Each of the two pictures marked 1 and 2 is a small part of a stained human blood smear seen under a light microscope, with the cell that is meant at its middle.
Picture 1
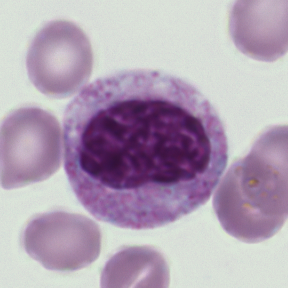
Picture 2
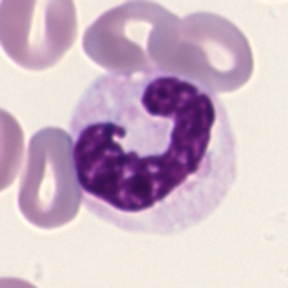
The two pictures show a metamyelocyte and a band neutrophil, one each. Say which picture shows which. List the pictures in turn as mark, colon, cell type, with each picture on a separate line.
1: metamyelocyte
2: band neutrophil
